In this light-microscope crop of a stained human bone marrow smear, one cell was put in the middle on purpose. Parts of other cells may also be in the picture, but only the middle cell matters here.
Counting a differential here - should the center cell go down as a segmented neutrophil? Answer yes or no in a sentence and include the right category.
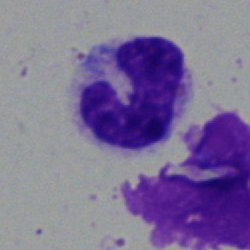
No, the middle one is a band neutrophil rather than a segmented neutrophil.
